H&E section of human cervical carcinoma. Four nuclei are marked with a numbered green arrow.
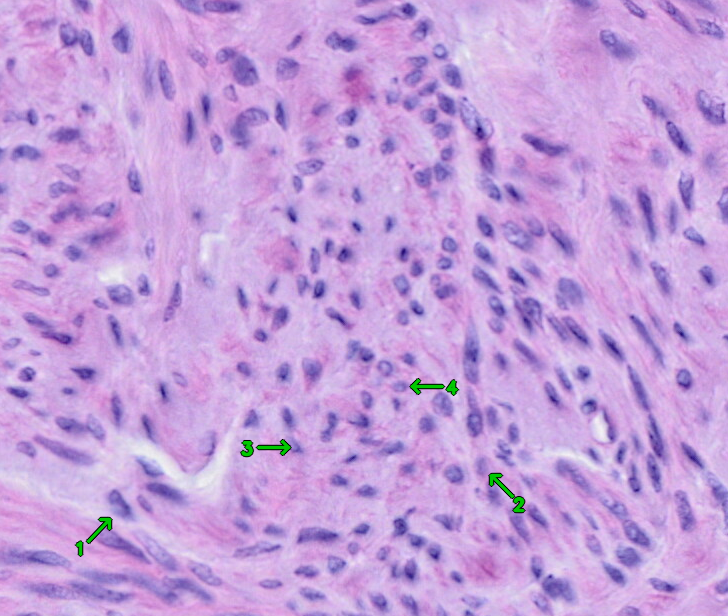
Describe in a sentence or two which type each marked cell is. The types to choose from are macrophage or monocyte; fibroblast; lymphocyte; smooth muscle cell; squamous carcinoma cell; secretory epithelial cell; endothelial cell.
Cell 1 is a fibroblast. Cells 2, 3 and 4 are smooth muscle cells.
